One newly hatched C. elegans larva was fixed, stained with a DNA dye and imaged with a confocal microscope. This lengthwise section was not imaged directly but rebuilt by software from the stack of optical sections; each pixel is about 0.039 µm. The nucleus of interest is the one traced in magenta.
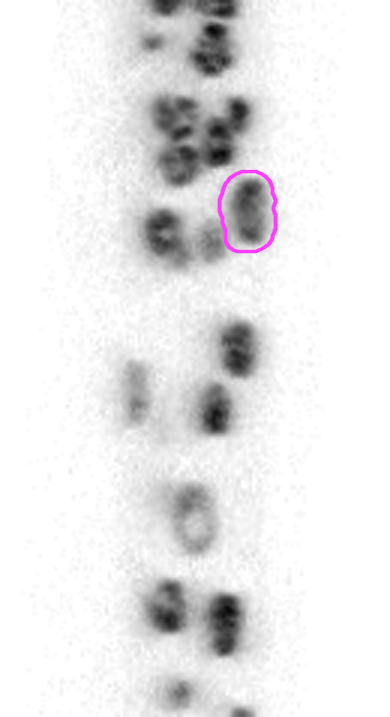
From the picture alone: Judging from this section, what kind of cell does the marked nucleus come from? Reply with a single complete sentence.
It belongs to a seam cell.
